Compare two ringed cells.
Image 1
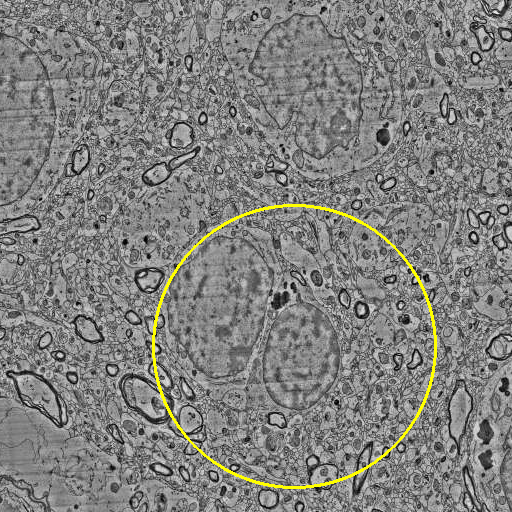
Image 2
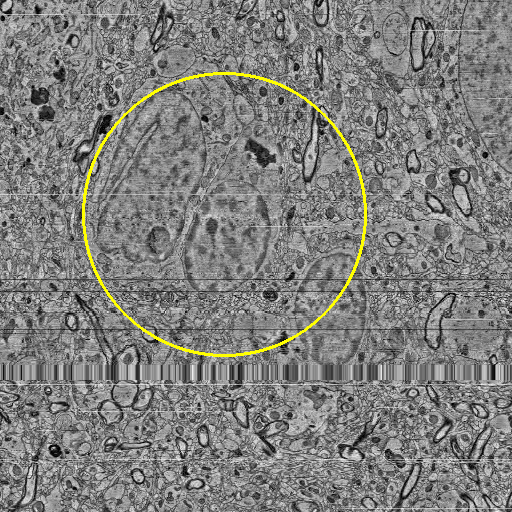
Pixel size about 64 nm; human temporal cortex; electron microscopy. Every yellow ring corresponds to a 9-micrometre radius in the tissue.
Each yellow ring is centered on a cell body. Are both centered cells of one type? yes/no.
yes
